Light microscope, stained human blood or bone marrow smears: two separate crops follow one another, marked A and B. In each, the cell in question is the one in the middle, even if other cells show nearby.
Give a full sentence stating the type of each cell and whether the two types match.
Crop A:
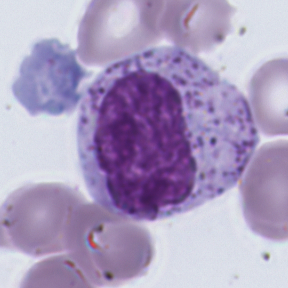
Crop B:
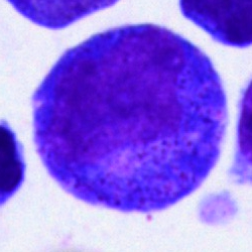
No, for crop A the cell is a myelocyte, and for crop B it is a promyelocyte.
